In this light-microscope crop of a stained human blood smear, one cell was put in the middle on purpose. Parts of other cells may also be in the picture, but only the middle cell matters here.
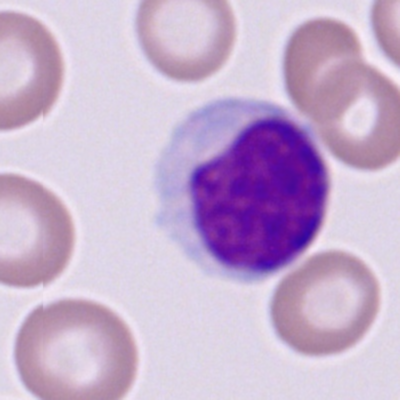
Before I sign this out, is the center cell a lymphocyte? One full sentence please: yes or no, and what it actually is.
Yes, the middle cell of the field is a lymphocyte.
